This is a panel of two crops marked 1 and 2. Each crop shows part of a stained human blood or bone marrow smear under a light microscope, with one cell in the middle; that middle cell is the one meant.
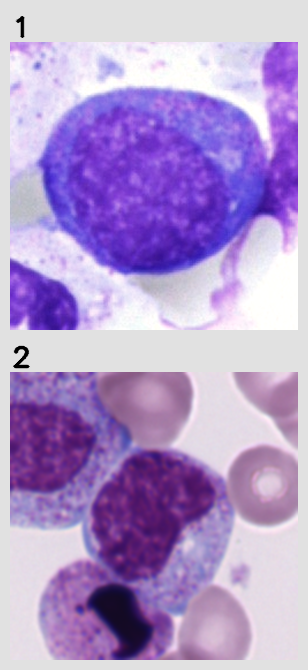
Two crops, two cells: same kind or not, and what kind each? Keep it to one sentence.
Yes, that is right, both crops show promyelocytes.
